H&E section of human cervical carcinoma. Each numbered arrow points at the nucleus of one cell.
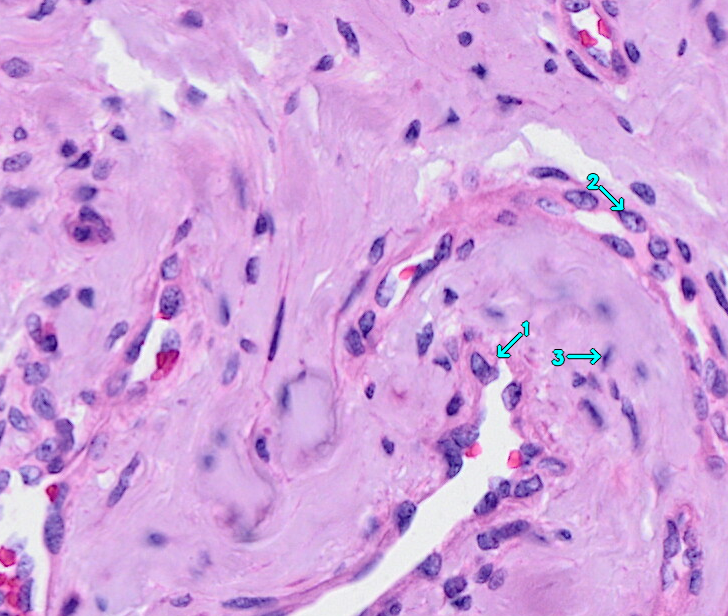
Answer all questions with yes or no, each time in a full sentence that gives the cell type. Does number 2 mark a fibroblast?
No, the cell numbered 2 is an endothelial cell rather than a fibroblast.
